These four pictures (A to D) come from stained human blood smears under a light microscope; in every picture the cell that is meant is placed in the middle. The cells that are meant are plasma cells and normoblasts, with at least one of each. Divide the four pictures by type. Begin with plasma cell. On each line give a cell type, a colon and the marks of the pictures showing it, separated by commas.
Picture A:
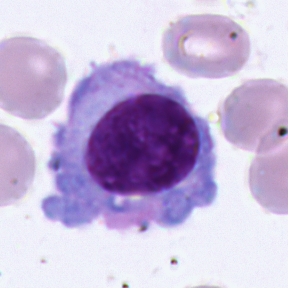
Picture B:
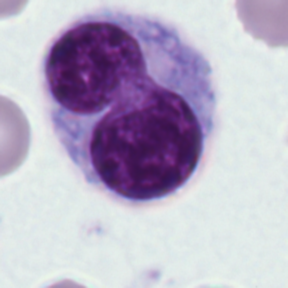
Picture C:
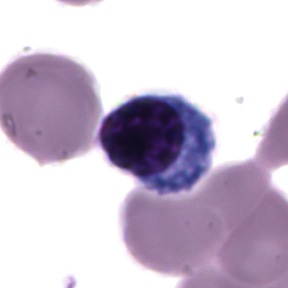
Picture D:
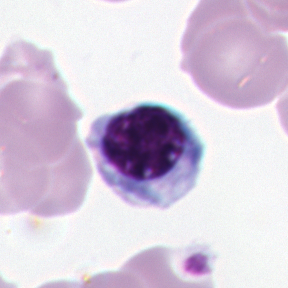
plasma cell: A, B, C
normoblast: D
